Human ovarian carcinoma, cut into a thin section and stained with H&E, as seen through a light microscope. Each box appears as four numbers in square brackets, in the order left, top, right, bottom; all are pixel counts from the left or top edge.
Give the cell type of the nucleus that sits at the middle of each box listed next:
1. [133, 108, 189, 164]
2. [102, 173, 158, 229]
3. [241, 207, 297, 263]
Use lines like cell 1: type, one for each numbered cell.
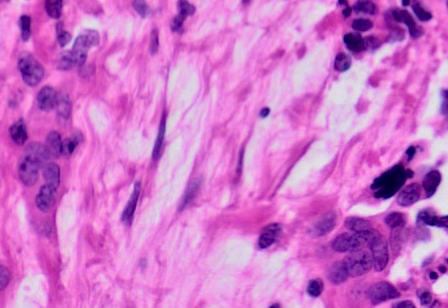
cell 1: fibroblast
cell 2: fibroblast
cell 3: macrophage or monocyte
